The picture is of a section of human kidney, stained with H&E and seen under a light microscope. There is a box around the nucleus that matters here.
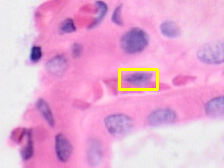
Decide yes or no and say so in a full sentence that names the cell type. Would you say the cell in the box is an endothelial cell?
Yes, the identity of the cell in the box is that of an endothelial cell.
